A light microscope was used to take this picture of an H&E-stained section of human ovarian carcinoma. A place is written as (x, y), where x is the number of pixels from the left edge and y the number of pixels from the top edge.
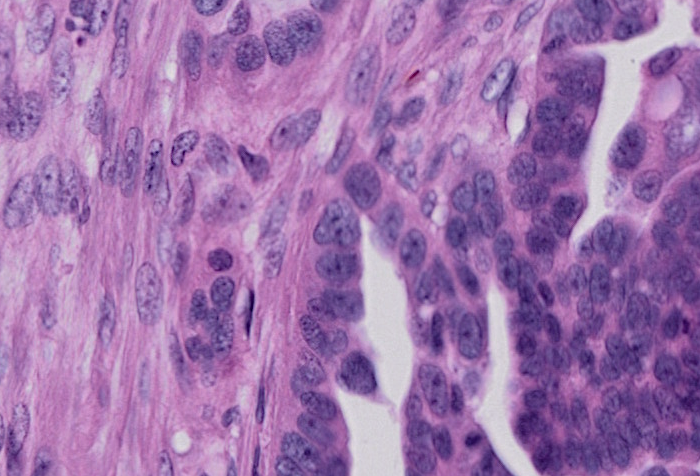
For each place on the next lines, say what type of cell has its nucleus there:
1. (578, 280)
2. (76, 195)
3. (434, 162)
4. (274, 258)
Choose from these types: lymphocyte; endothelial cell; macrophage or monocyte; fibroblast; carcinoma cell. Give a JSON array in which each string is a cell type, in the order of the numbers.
["carcinoma cell", "fibroblast", "fibroblast", "fibroblast"]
